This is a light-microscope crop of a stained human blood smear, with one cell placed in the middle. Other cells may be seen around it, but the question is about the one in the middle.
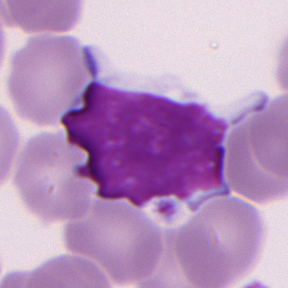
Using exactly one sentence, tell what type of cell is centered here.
This crop has a typical lymphocyte at its centre.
